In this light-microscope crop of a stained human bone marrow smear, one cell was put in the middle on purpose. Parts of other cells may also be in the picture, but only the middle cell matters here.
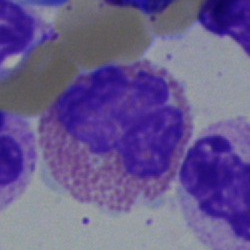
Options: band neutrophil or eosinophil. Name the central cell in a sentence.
The cell marked by its central position in the crop is an eosinophil.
